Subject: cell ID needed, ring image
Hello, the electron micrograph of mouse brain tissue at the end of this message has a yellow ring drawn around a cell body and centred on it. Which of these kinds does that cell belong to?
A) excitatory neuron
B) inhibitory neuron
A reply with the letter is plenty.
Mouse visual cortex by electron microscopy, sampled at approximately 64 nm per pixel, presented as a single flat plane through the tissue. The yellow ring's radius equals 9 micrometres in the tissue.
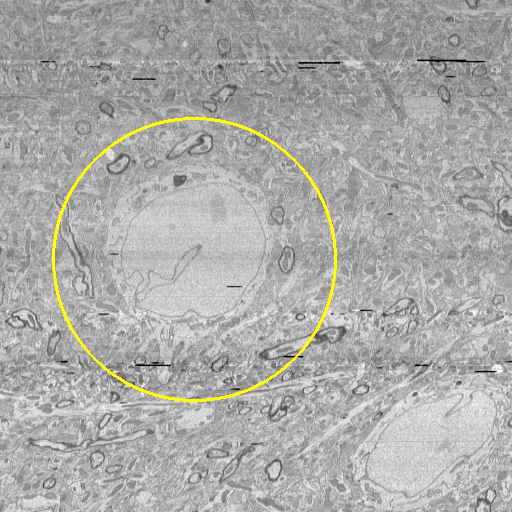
A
